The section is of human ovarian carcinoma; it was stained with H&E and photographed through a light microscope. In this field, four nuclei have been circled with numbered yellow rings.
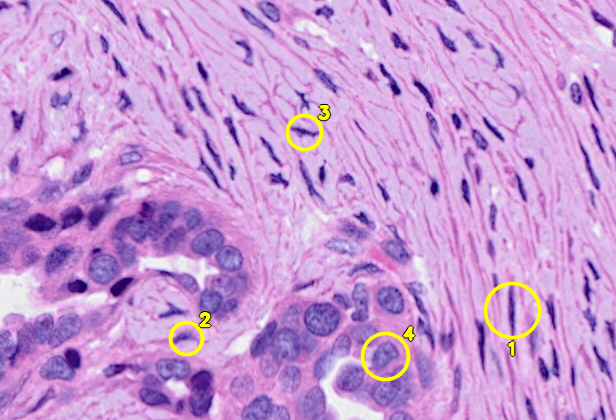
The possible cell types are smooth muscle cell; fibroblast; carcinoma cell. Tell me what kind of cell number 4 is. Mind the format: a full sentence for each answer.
It is as a carcinoma cell that the cell numbered 4 is identified.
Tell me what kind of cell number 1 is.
The cell to which the number 1 is assigned is a fibroblast.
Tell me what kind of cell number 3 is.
In the marked set, the cell given number 3 is a fibroblast.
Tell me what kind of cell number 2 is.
Within this field of view, the cell labelled 2 is a fibroblast.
